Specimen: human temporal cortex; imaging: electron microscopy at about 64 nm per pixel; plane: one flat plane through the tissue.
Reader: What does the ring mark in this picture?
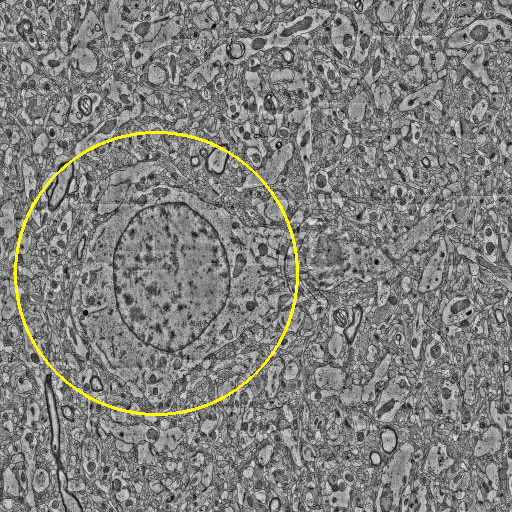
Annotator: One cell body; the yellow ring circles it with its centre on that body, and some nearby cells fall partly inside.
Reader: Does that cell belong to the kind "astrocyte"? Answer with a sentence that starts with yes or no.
No, the cell at the ring's centre in this picture is of another kind.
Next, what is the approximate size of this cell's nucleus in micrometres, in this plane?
The nucleus appears roughly 10 by 7 micrometres in this plane.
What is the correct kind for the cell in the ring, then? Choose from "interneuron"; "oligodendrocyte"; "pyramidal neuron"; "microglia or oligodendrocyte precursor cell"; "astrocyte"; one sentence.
Instead, the picture shows a pyramidal neuron at the centre of the ring.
